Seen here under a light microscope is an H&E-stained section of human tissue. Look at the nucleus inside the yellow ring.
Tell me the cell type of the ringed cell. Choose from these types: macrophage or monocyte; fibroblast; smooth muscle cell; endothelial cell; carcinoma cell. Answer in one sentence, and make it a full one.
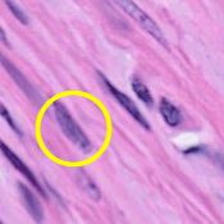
As far as its identity is concerned, the ringed cell is a smooth muscle cell.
